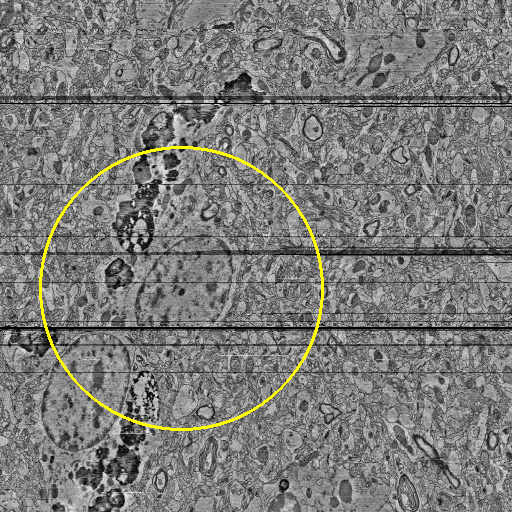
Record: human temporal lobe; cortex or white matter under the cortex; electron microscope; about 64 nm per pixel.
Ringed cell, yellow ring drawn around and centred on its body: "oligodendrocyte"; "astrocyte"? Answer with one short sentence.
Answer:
This ringed cell is an astrocyte.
